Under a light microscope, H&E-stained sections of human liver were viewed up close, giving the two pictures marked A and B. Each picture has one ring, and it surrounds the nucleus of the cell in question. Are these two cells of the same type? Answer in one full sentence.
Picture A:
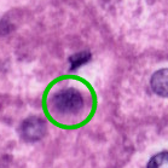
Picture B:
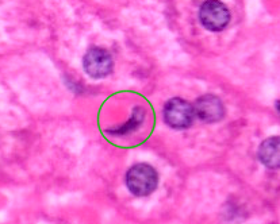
Yes, both cells are endothelial cells.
